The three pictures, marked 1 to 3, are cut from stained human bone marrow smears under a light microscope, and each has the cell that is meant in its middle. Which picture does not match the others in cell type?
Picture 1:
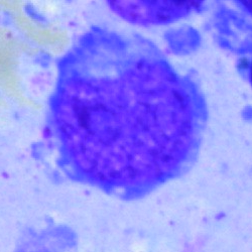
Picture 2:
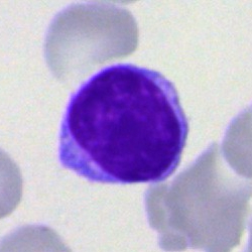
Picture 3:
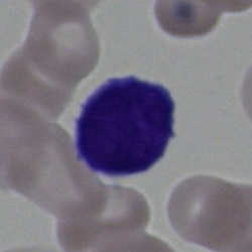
1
